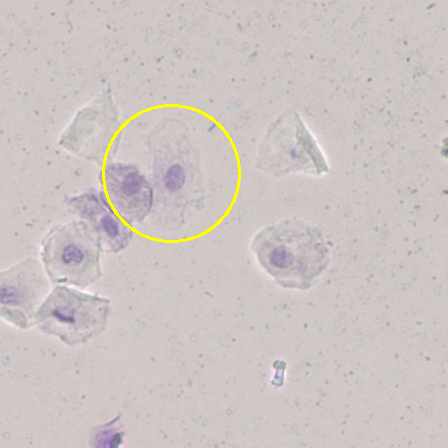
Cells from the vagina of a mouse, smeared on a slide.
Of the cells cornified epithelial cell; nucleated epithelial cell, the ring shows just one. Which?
The ring shows a nucleated epithelial cell.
